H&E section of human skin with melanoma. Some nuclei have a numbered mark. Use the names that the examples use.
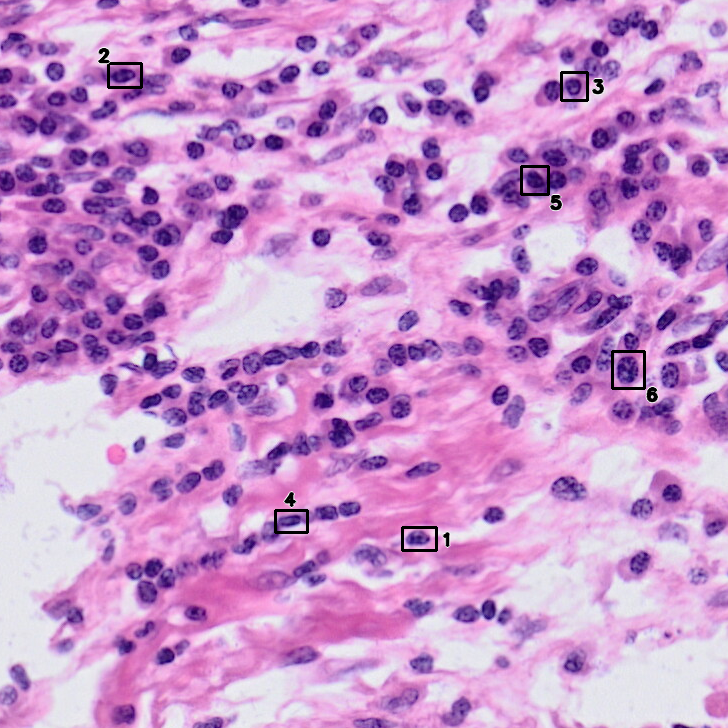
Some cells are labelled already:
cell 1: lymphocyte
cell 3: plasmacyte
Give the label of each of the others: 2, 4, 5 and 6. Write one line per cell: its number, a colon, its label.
2: plasmacyte
4: lymphocyte
5: plasmacyte
6: plasmacyte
